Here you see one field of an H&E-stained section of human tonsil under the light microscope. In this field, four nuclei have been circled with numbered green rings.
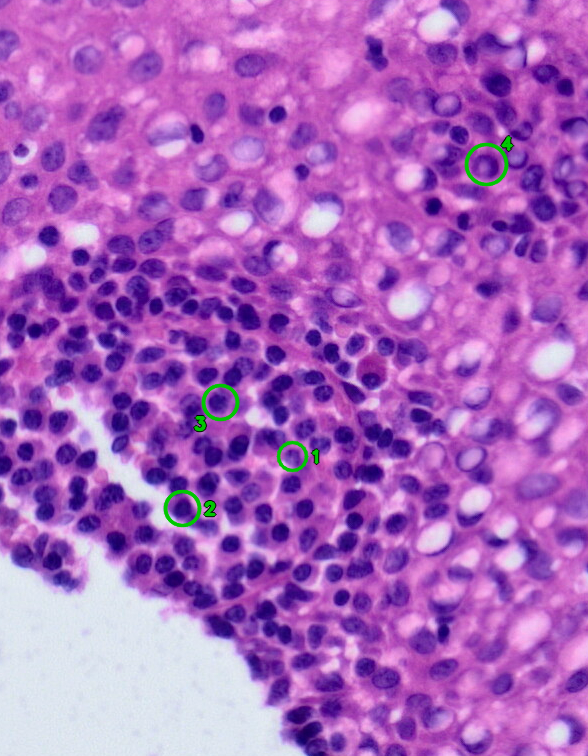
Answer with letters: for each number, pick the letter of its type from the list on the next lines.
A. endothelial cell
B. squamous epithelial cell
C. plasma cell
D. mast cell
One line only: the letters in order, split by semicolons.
C; C; C; B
